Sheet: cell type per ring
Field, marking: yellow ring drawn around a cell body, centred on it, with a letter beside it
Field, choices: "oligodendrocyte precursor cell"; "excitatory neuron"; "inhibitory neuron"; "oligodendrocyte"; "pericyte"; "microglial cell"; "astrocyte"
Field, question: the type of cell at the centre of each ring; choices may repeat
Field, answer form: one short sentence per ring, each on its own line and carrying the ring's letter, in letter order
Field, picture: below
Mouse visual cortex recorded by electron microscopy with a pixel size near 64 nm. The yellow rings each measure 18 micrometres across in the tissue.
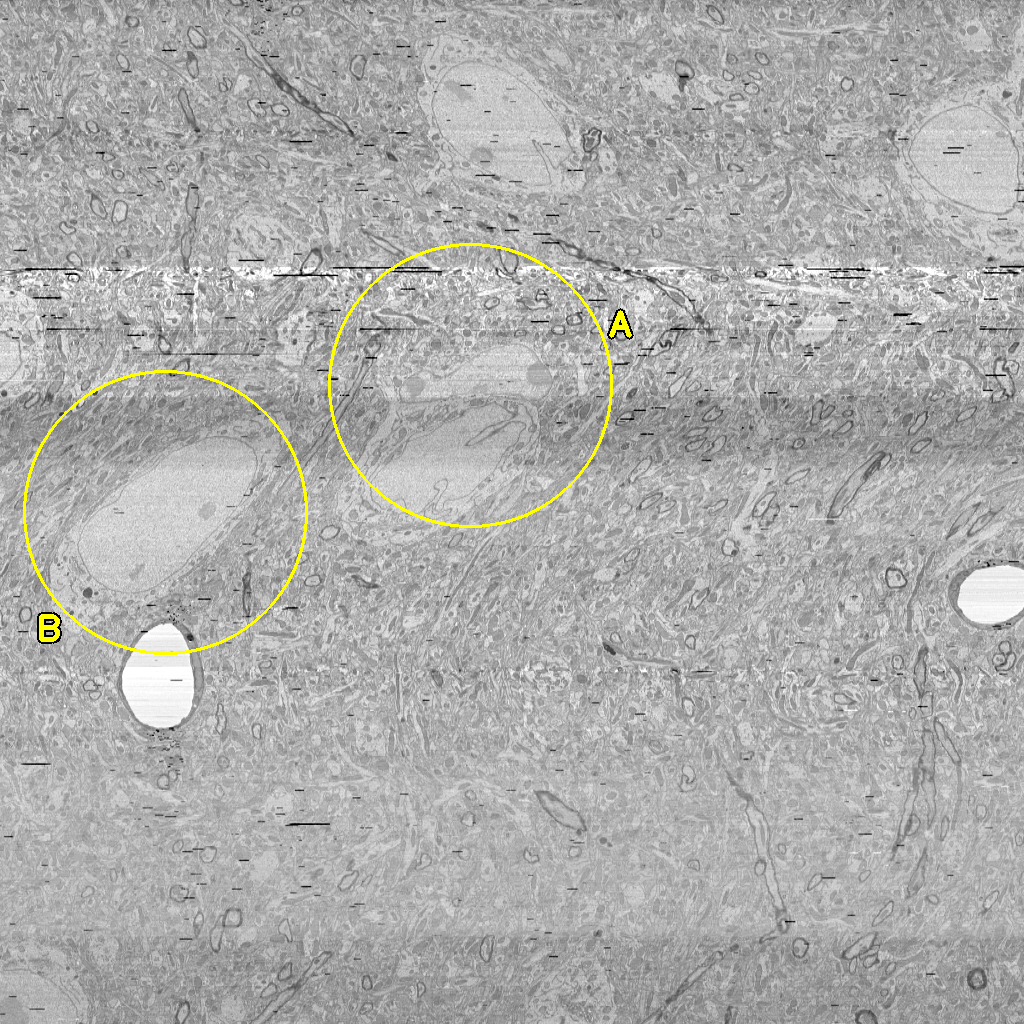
The cell body inside ring A, at its centre, is an oligodendrocyte precursor cell.
The cell body inside ring B, at its centre, is an excitatory neuron.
